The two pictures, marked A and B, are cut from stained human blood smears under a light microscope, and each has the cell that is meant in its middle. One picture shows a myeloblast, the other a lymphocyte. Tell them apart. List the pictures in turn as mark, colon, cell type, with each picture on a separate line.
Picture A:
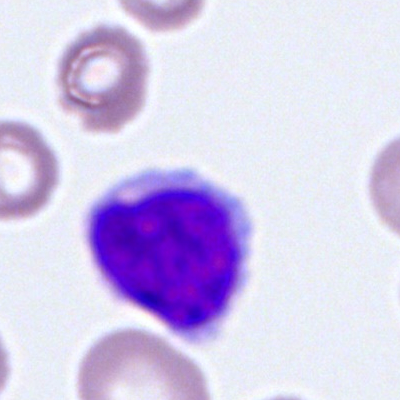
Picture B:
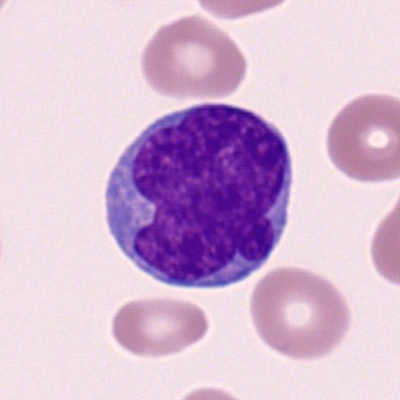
A: lymphocyte
B: myeloblast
